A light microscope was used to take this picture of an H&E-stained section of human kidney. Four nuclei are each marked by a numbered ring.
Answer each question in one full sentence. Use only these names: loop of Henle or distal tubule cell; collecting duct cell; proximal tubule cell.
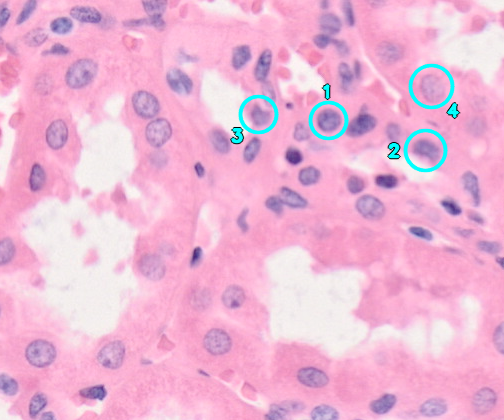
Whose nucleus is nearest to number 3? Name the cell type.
Closest to number 3 lies the nucleus of a collecting duct cell.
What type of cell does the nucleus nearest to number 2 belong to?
Number 2 lies closest to the nucleus of a collecting duct cell.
